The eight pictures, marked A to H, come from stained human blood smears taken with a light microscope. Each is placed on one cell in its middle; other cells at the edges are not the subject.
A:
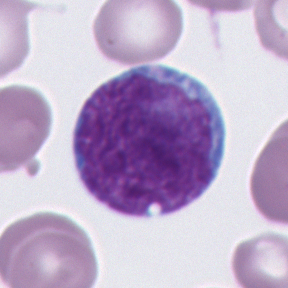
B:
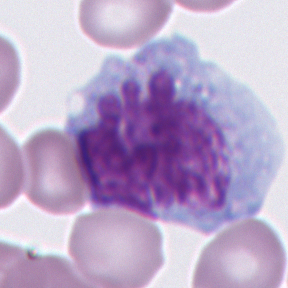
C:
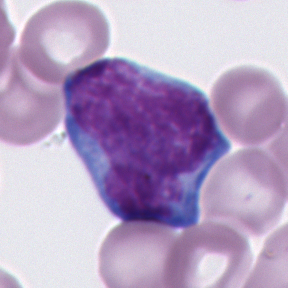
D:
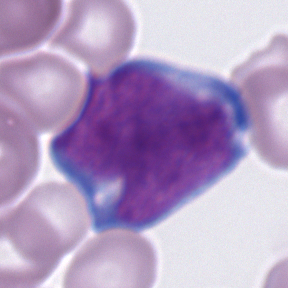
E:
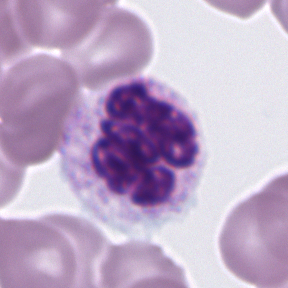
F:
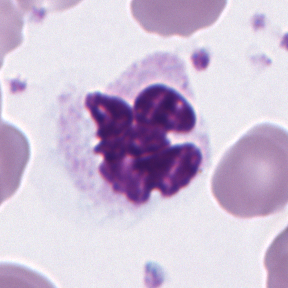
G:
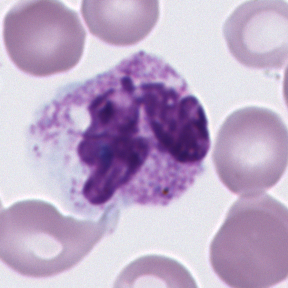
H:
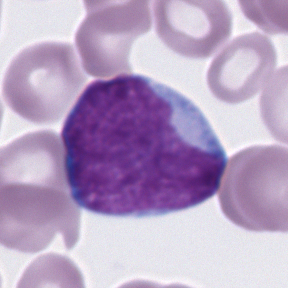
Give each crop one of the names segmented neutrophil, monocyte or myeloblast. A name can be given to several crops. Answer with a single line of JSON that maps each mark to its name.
{"A": "myeloblast", "B": "monocyte", "C": "myeloblast", "D": "myeloblast", "E": "segmented neutrophil", "F": "segmented neutrophil", "G": "segmented neutrophil", "H": "myeloblast"}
